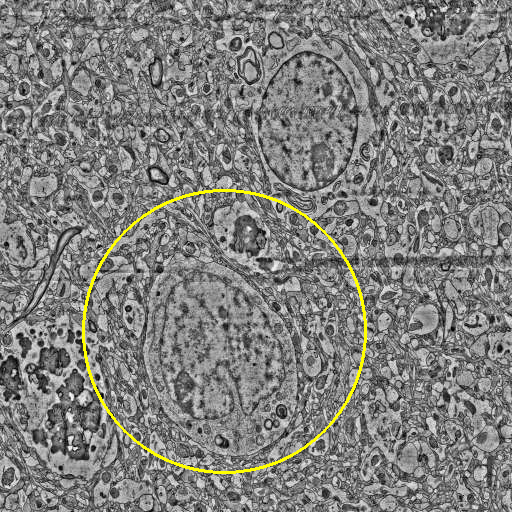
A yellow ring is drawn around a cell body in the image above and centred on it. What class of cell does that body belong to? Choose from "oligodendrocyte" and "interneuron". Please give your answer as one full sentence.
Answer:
The yellow ring above is centred on the cell body of an interneuron.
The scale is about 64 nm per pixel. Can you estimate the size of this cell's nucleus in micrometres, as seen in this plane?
Approximately 10 micrometres long and 8 micrometres wide, in this plane.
